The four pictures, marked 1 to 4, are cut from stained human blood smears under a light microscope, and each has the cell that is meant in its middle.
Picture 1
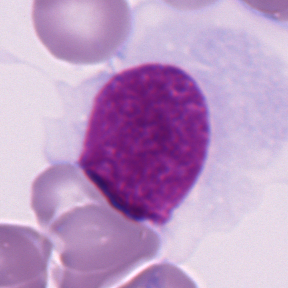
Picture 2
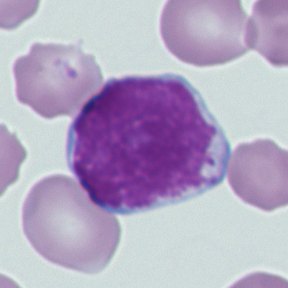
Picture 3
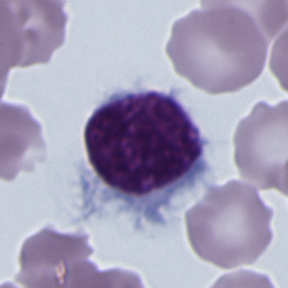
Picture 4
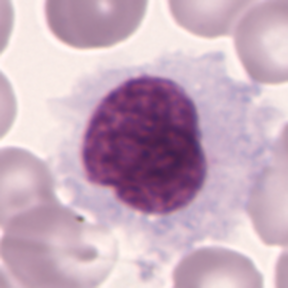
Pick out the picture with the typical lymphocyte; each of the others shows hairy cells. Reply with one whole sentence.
It is picture 2 that shows the typical lymphocyte.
